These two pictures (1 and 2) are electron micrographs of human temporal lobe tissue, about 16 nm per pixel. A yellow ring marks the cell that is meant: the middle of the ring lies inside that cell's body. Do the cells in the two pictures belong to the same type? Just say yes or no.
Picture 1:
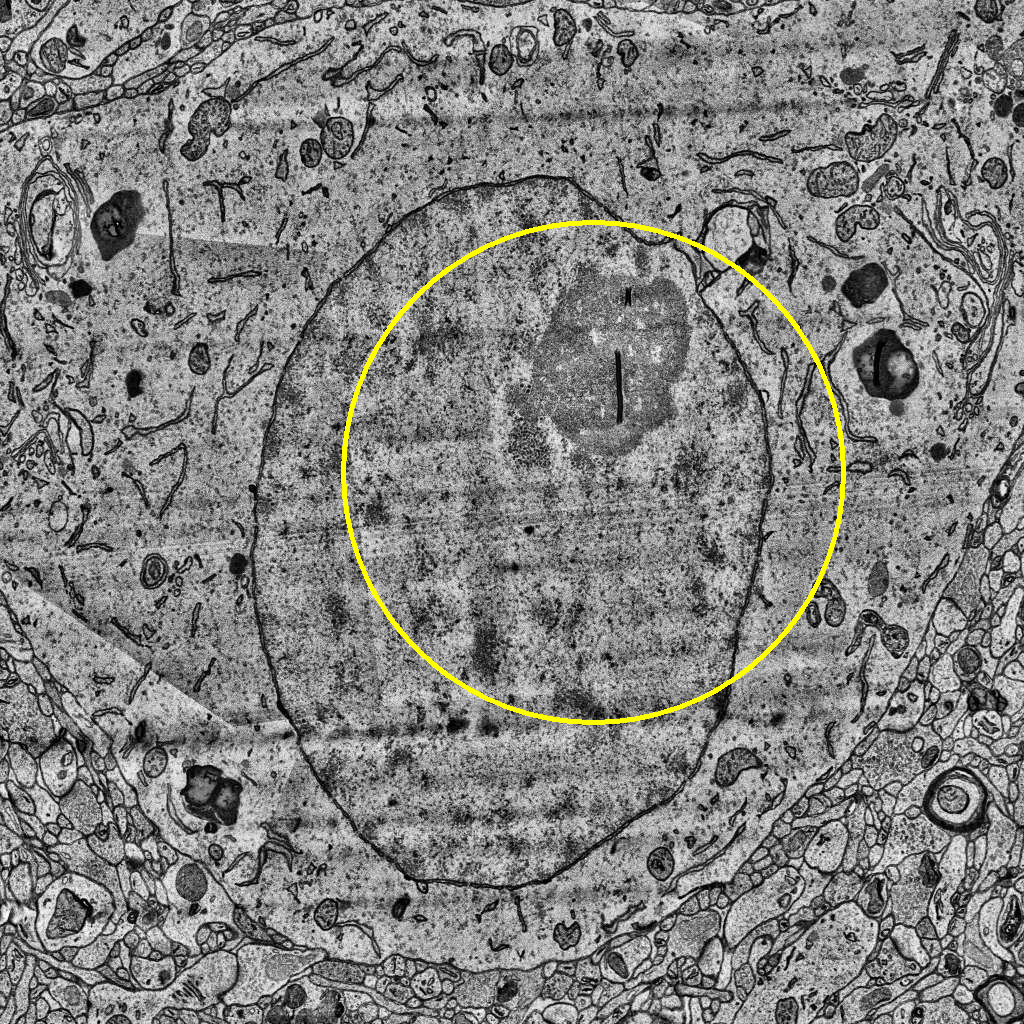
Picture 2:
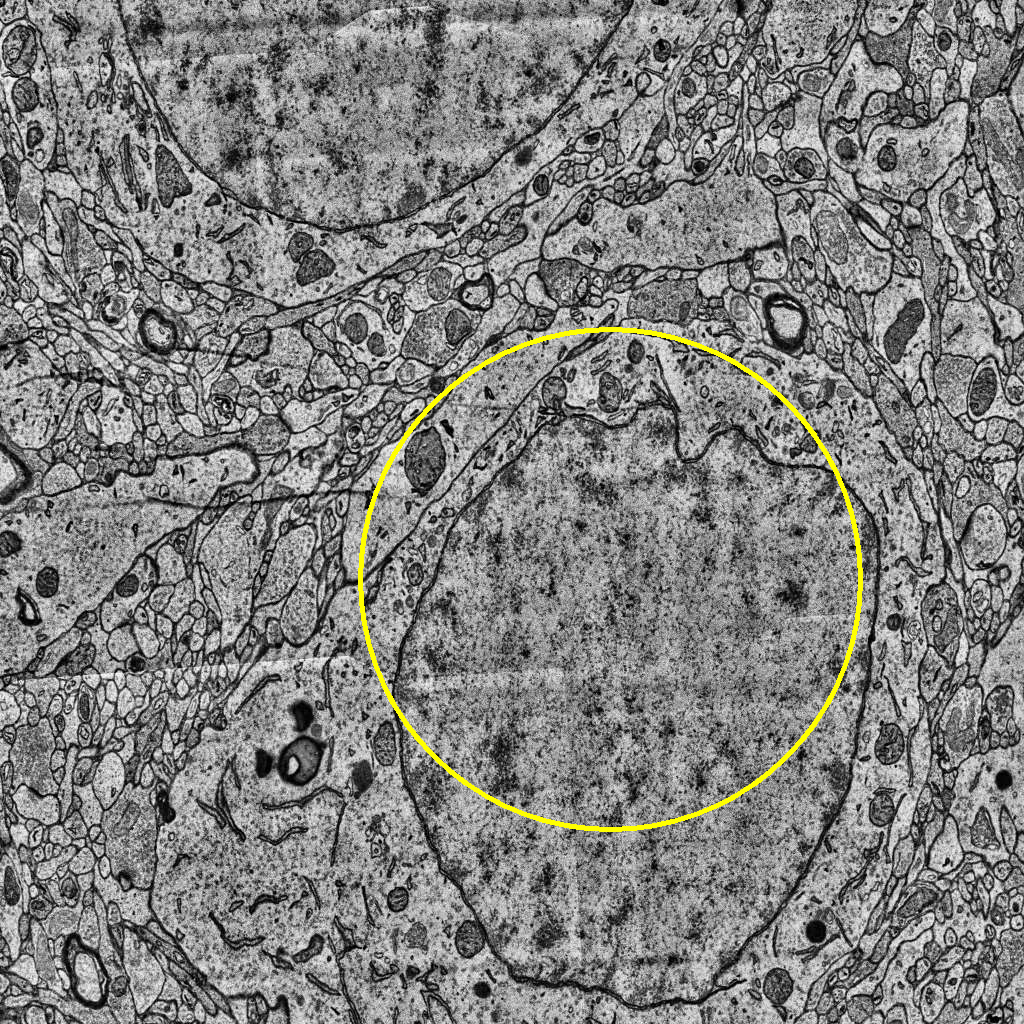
yes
